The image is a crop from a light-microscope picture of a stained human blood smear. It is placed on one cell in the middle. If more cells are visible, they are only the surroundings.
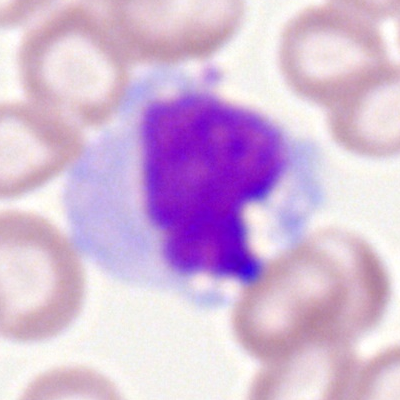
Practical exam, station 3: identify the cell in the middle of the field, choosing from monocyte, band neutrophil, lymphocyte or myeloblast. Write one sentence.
Seen at the centre of the crop is a monocyte.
